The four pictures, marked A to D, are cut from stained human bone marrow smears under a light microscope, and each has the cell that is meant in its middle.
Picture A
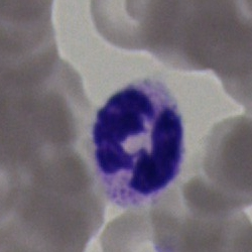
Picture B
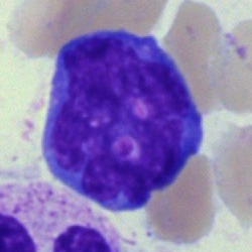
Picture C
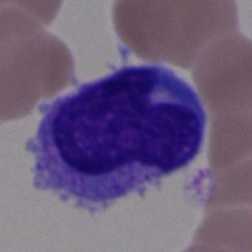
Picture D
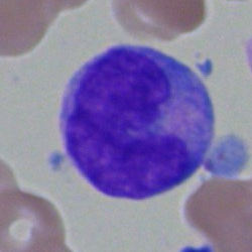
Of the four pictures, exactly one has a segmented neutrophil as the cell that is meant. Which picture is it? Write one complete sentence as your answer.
Picture A is the one that shows the segmented neutrophil.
